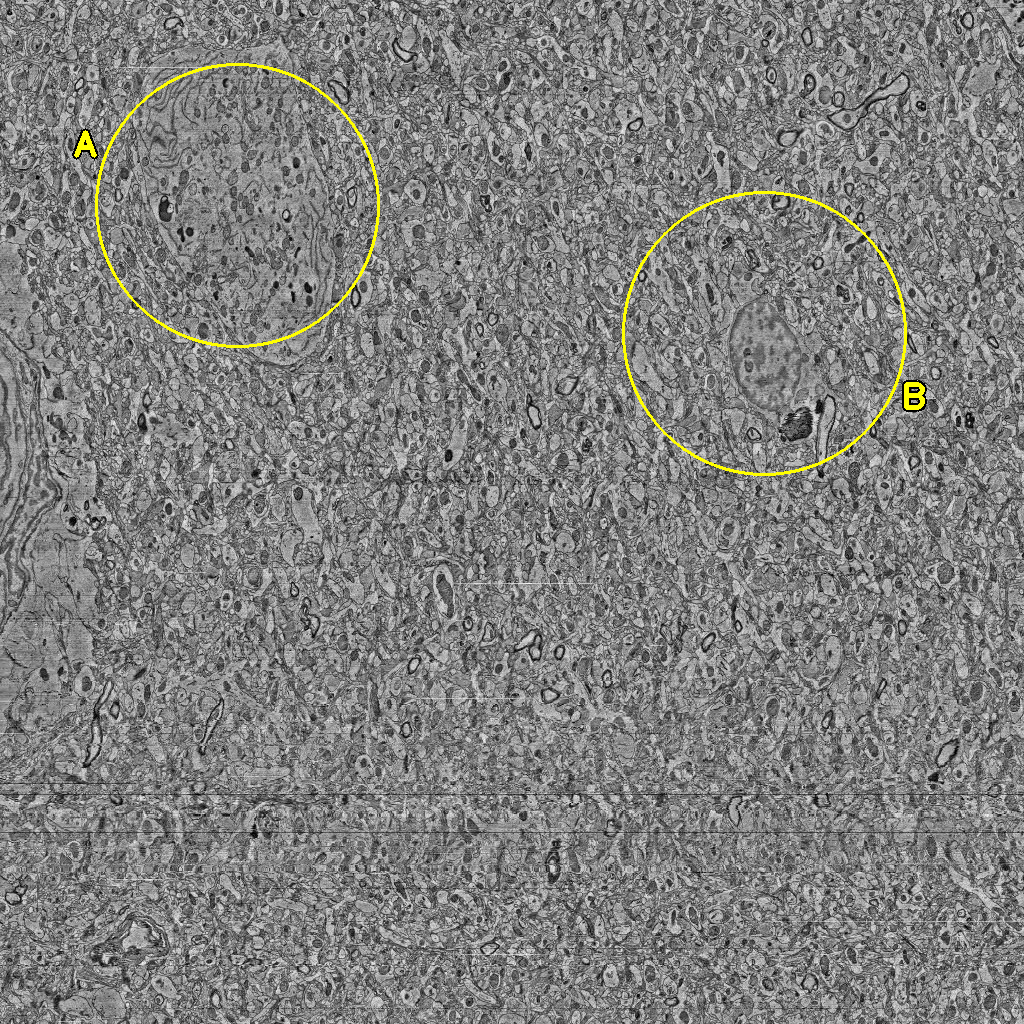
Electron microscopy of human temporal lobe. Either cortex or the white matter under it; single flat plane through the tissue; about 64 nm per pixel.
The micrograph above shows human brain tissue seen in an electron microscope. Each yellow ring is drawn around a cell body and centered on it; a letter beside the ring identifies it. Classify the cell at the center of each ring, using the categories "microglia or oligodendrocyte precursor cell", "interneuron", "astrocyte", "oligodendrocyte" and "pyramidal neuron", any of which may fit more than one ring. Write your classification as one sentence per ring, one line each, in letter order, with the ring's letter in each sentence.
Ring A is centered on an interneuron.
Ring B is centered on an oligodendrocyte.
